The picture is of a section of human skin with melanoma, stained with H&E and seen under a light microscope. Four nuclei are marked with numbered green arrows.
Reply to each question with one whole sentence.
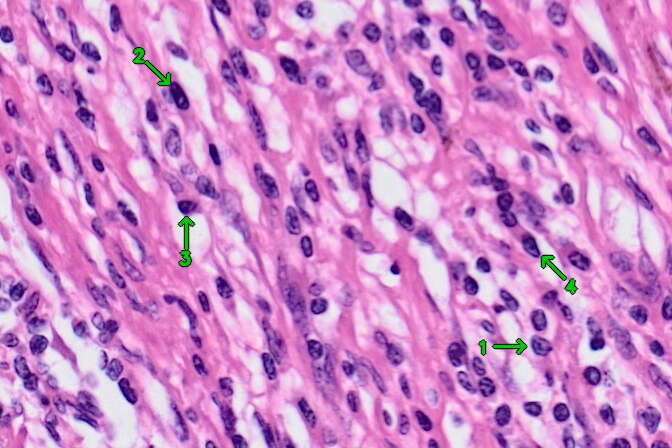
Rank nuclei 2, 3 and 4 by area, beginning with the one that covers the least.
From smallest to largest, the order is 3, 4, 2.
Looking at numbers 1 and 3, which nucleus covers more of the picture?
It is nucleus 1, which covers about 2 times the area of nucleus 3.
